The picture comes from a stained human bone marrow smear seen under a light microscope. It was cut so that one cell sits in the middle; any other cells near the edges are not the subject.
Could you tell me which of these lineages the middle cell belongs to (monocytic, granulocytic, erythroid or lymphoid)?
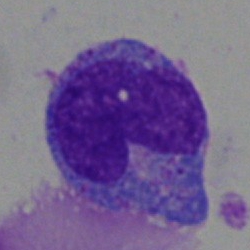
monocytic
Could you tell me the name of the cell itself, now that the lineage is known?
monocyte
